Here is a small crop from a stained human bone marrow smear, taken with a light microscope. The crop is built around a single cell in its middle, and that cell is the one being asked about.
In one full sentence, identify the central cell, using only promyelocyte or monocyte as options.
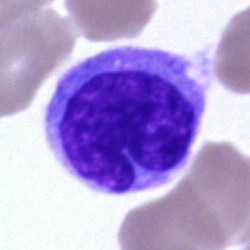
Of the cells in this crop, the central one is a monocyte.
